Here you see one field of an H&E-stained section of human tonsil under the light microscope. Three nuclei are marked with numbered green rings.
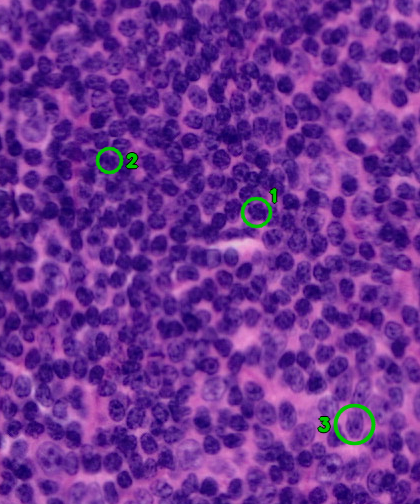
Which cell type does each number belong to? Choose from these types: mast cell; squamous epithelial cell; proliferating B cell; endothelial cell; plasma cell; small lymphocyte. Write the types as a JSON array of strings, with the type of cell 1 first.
["small lymphocyte", "small lymphocyte", "proliferating B cell"]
